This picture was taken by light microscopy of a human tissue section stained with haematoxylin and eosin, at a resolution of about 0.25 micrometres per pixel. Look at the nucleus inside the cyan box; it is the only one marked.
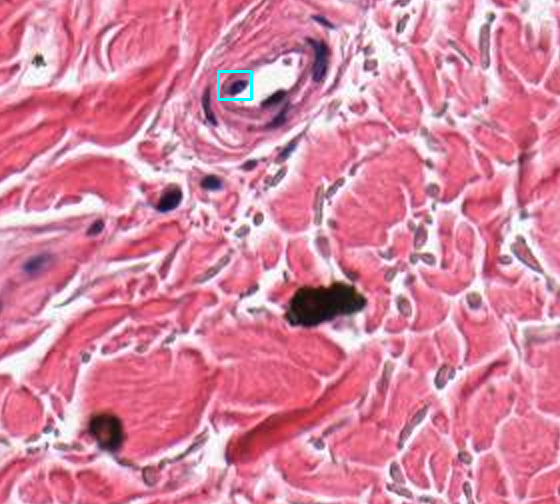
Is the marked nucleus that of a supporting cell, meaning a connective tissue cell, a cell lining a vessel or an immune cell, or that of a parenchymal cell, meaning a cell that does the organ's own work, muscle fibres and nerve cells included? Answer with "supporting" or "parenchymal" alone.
supporting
